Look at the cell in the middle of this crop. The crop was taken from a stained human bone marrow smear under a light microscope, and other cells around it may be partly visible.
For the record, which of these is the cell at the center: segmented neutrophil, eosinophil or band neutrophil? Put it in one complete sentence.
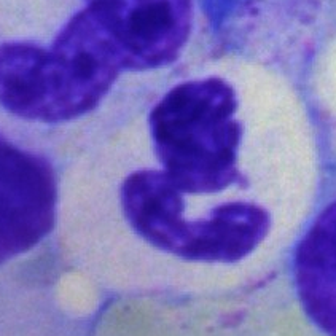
By classification, the middle cell of this crop is a segmented neutrophil.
